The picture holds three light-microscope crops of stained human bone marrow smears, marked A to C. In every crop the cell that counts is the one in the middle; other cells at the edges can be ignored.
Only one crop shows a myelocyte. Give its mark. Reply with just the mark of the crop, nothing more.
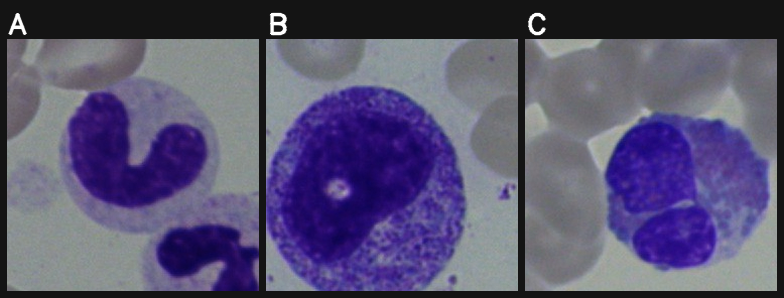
B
